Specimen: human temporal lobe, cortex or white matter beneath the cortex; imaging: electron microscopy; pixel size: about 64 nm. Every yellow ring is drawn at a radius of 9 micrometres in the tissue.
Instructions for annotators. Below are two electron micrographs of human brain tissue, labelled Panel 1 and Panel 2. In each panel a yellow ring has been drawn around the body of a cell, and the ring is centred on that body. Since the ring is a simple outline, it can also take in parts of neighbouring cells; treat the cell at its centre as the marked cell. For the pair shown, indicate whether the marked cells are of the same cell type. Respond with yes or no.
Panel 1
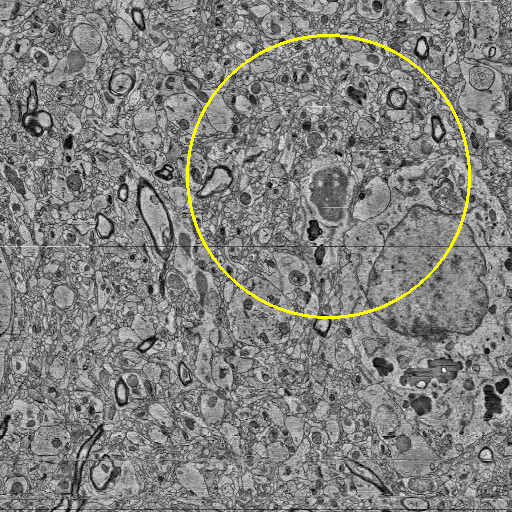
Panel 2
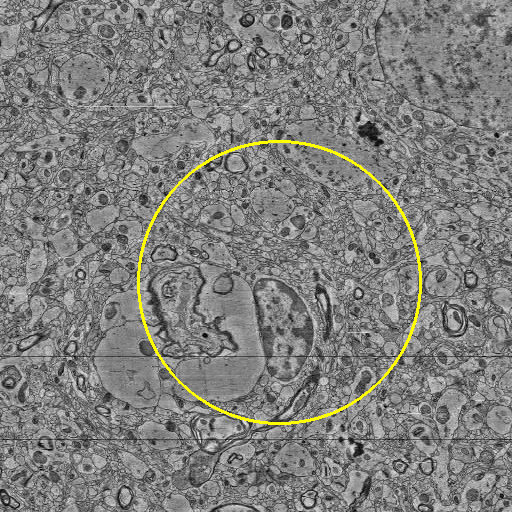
yes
